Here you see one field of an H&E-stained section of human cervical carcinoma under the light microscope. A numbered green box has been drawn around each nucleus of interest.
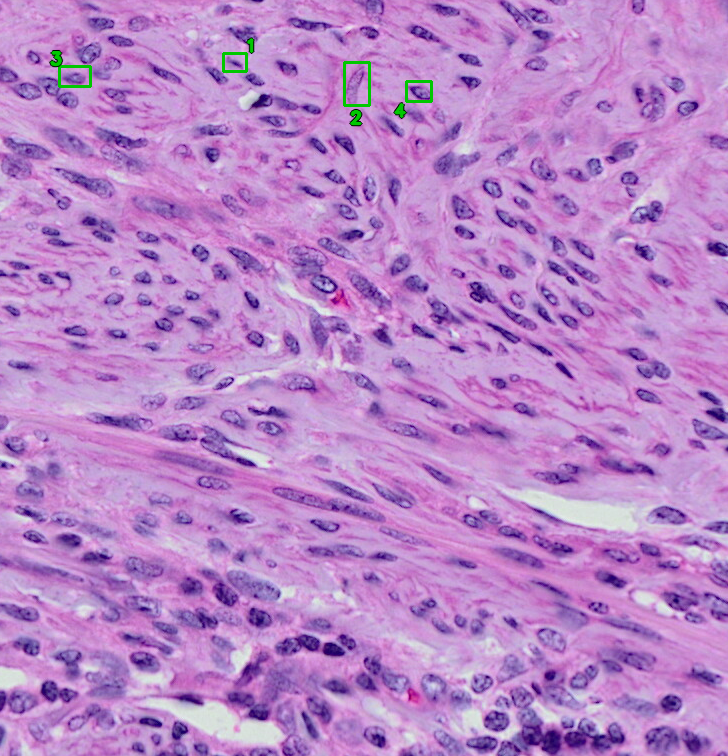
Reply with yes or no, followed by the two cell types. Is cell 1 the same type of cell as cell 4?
No, the cell at number 1 is a fibroblast, and the cell at number 4 is a smooth muscle cell.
